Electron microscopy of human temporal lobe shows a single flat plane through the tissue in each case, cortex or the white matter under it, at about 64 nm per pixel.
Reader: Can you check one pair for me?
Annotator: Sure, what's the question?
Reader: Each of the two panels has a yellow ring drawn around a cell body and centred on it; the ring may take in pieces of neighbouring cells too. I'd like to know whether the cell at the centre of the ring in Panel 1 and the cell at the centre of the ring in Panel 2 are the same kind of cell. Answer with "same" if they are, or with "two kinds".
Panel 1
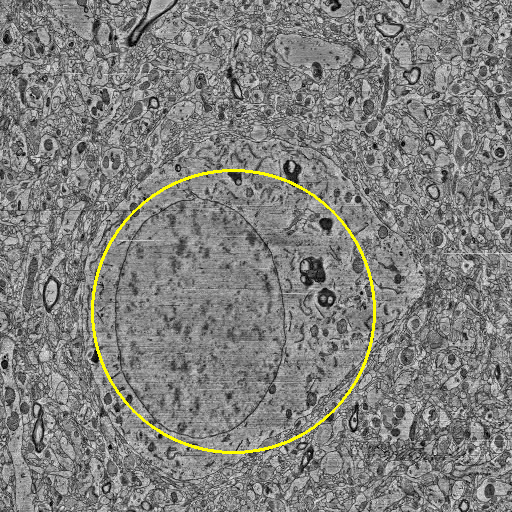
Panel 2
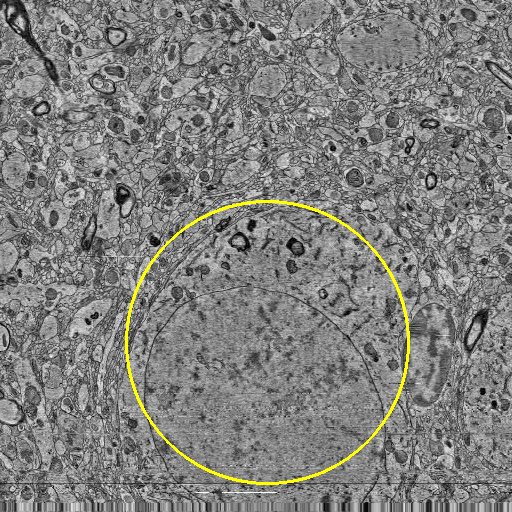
same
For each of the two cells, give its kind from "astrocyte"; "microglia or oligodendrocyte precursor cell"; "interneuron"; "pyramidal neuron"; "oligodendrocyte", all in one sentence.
The ring centre holds a pyramidal neuron in each of the two pictures.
